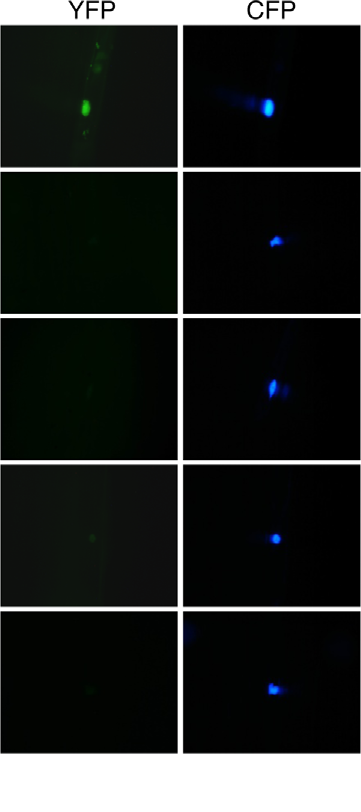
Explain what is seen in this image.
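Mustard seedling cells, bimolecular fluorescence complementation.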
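In every right-hand image the nucleus glows bright blue against a dark field. Only in the top pair does a matching bright green spot appear in the left-hand image, sitting exactly where the blue nucleus is, while the other left-hand images stay dark or show only faint green.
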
